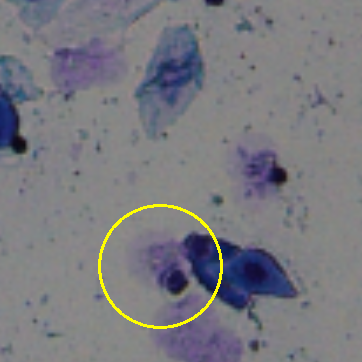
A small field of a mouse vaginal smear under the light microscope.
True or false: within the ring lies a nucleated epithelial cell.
True: a nucleated epithelial cell lies within the ring.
